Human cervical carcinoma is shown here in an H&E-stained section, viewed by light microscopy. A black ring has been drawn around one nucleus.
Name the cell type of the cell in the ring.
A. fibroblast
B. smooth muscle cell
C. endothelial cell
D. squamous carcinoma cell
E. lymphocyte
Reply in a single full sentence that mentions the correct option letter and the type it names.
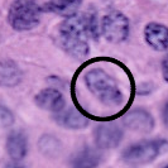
The proper choice here is D: the cell in the ring is a squamous carcinoma cell.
